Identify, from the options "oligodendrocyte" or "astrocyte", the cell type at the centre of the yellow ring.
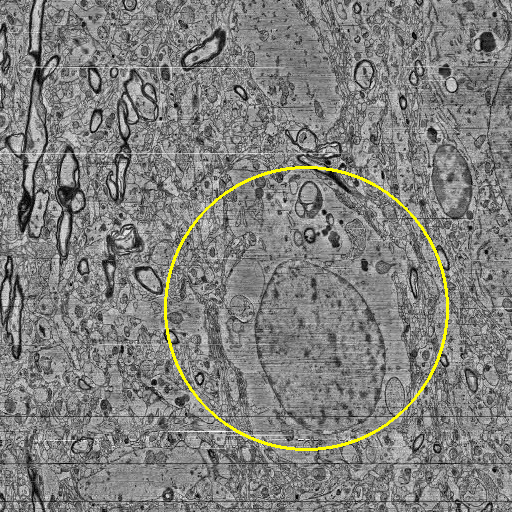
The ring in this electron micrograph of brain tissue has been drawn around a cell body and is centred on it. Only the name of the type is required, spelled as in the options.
astrocyte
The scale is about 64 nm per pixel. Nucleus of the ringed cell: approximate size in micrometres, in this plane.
The nucleus of the ringed cell is approximately 12 by 8 micrometres in this plane.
